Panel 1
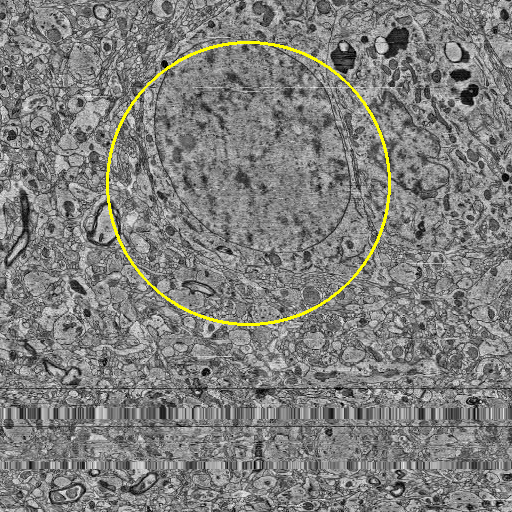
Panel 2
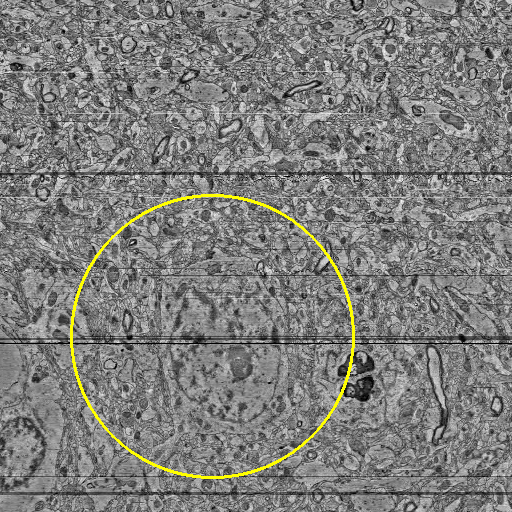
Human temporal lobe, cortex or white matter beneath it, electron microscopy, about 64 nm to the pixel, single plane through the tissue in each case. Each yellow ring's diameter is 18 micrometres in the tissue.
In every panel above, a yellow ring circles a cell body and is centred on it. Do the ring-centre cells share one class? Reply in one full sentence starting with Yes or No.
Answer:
No, the two cells at the ring centres in the panels belong to two classes.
